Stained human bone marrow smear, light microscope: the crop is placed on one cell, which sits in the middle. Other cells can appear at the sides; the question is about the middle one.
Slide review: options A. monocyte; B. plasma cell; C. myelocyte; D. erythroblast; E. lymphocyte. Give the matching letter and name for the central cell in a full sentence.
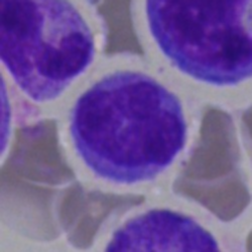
Given that the cell in the middle is a monocyte, option A is correct.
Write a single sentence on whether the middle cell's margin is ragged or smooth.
If you check the edge, you will find it smooth without projections.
